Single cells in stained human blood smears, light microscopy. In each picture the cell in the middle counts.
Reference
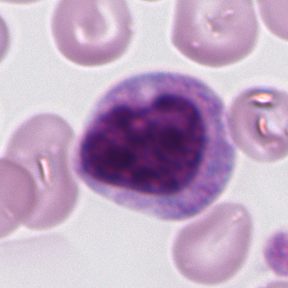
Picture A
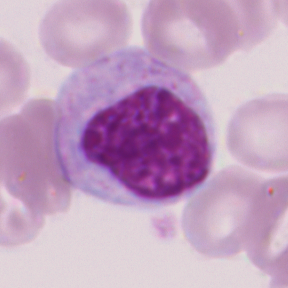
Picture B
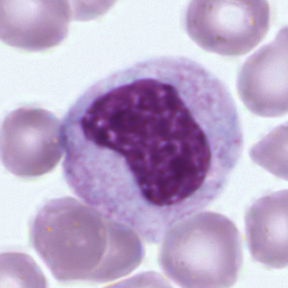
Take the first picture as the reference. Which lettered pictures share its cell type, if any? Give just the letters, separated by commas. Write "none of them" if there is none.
A, B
